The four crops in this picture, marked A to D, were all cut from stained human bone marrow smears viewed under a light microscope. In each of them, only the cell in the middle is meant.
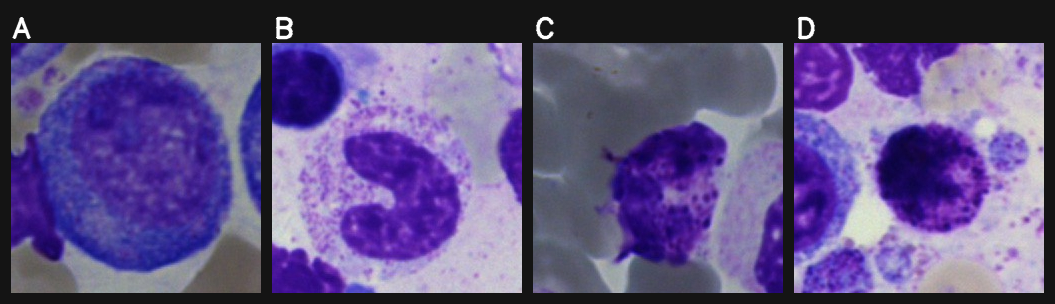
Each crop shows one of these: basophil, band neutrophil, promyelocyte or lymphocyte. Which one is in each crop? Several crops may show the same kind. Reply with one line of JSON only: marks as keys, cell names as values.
{"A": "promyelocyte", "B": "band neutrophil", "C": "basophil", "D": "basophil"}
